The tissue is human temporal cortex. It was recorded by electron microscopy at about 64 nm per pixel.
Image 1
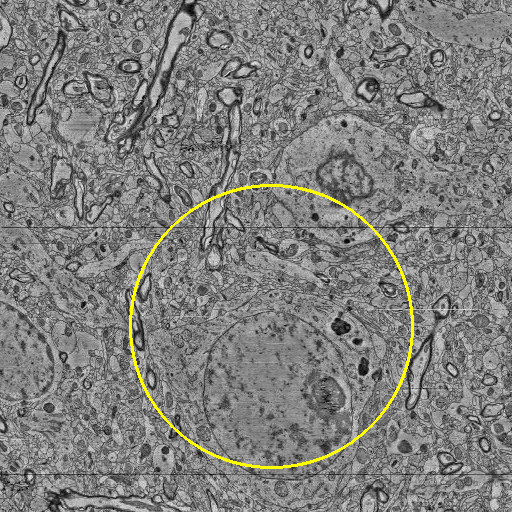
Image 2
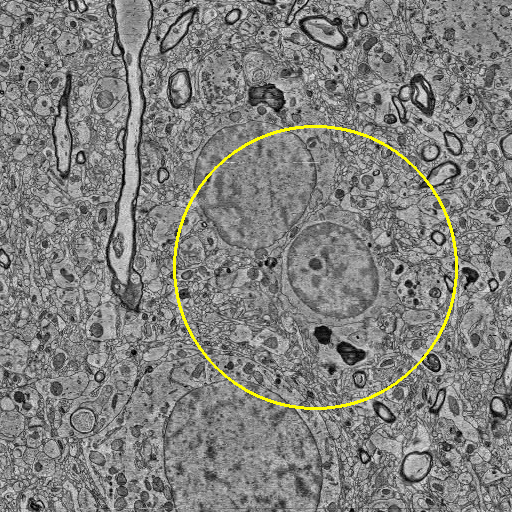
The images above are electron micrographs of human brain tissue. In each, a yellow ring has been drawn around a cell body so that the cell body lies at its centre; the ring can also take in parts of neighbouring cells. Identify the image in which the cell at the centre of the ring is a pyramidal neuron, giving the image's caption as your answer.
Image 1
